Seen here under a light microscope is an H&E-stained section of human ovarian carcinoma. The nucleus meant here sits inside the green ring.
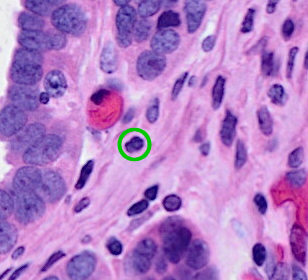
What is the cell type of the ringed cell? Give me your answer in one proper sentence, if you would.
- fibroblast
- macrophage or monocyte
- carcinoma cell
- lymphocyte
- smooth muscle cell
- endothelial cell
As to its cell type, the ringed cell is a lymphocyte.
